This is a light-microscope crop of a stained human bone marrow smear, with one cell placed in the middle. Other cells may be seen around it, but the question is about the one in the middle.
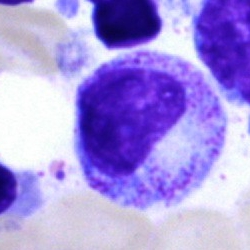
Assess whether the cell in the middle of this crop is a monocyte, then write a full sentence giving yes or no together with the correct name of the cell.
No, this is not a monocyte at all; the cell in the middle is a myelocyte.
